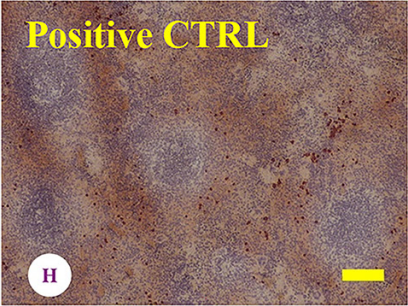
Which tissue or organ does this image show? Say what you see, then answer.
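Several round purple aggregates of small densely packed cells. Surrounding tissue is brown-stained and speckled with darker brown granules.
Spleen.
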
